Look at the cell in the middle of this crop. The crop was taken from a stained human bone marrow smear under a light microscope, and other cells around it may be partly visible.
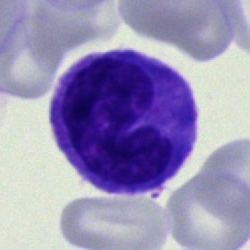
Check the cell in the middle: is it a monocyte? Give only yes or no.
yes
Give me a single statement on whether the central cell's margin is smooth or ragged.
No projections interrupt the outline; it is smooth all the way round.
